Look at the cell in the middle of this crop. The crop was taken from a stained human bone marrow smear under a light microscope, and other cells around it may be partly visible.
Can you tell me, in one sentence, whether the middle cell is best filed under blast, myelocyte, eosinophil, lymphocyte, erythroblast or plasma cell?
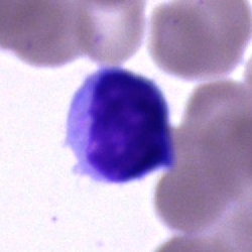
The middle of this crop is occupied by a lymphocyte.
